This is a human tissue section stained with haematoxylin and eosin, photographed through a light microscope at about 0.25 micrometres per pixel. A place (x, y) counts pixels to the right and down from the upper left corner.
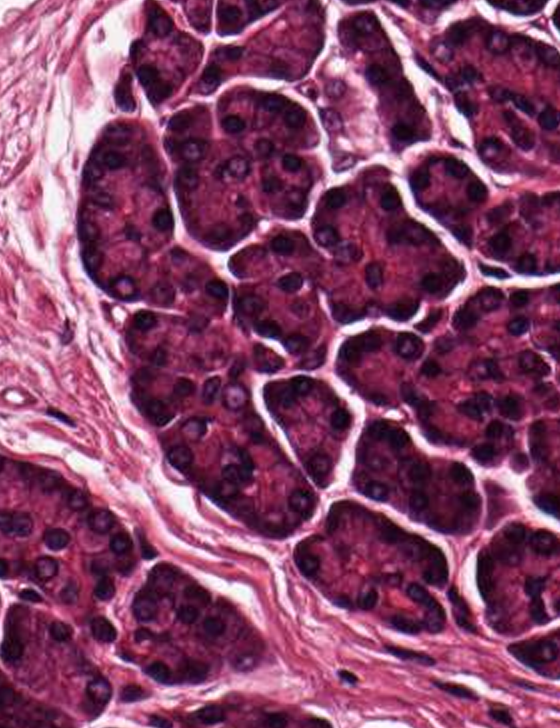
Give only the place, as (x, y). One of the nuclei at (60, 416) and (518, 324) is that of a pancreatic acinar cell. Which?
(518, 324)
